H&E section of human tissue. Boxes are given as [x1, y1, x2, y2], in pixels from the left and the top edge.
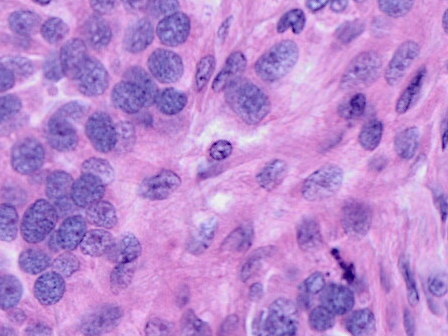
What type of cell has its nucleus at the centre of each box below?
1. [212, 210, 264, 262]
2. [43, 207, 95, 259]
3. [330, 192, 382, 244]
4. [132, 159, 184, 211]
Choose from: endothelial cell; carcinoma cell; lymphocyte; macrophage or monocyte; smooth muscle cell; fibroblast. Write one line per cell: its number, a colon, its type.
1: fibroblast
2: carcinoma cell
3: fibroblast
4: fibroblast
